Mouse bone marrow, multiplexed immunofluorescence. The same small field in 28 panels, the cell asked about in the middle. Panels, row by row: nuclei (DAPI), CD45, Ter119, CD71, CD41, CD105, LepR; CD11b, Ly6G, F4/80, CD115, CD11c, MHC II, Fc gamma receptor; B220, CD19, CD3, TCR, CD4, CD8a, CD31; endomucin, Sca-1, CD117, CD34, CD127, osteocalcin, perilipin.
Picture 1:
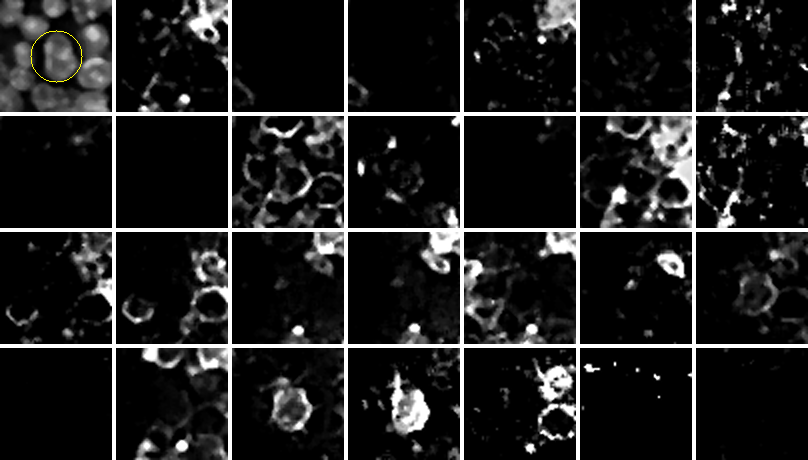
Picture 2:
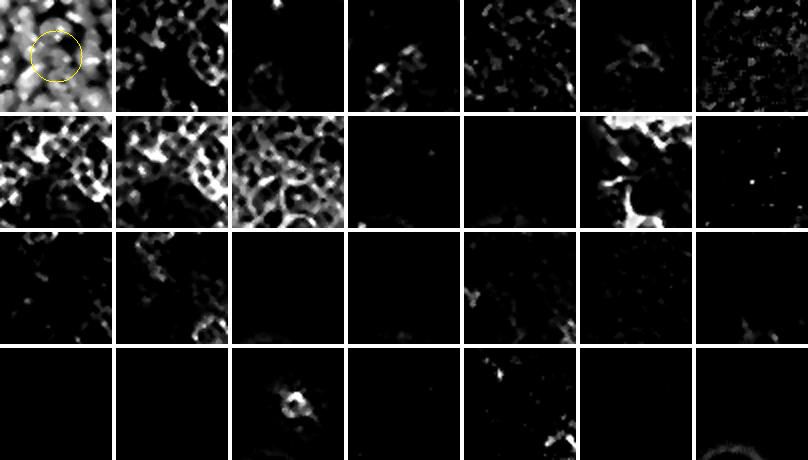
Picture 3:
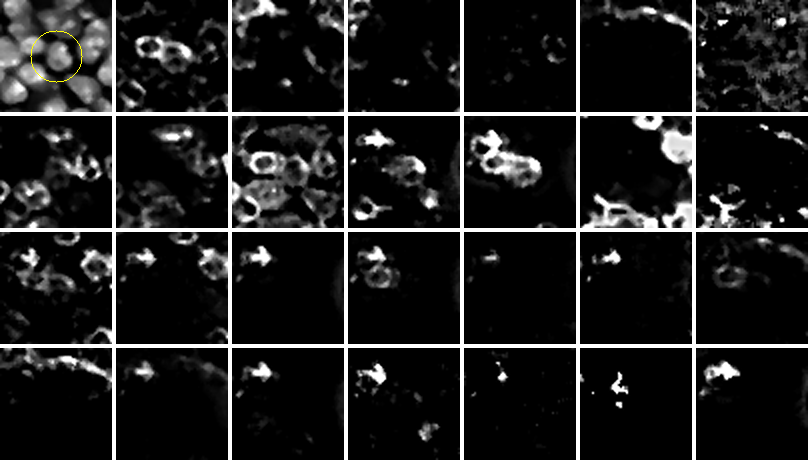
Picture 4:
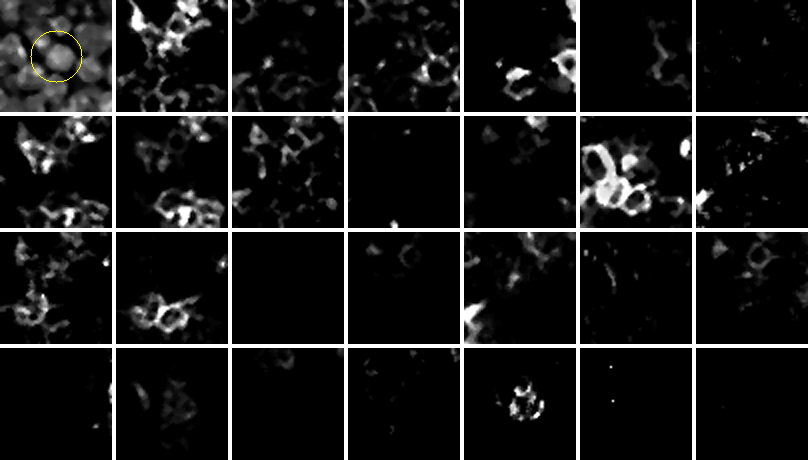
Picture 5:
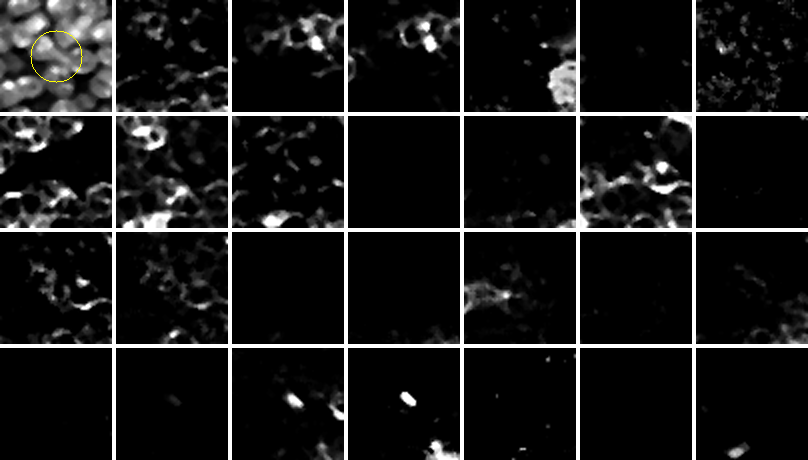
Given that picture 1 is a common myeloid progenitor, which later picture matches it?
5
